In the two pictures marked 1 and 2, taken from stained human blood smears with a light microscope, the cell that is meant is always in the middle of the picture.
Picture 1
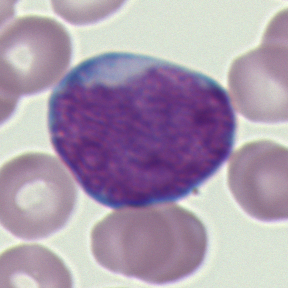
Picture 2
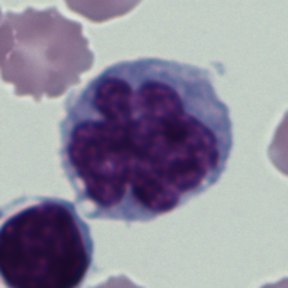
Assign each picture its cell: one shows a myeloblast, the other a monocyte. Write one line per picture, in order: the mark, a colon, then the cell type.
1: myeloblast
2: monocyte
